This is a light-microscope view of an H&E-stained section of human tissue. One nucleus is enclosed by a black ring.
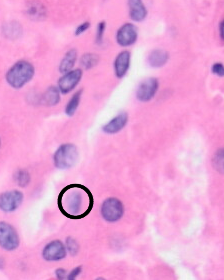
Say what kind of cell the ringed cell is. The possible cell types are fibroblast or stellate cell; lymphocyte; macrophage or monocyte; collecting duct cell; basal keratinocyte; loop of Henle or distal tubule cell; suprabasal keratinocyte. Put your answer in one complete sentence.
In the tissue under study, the ringed cell is a collecting duct cell.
